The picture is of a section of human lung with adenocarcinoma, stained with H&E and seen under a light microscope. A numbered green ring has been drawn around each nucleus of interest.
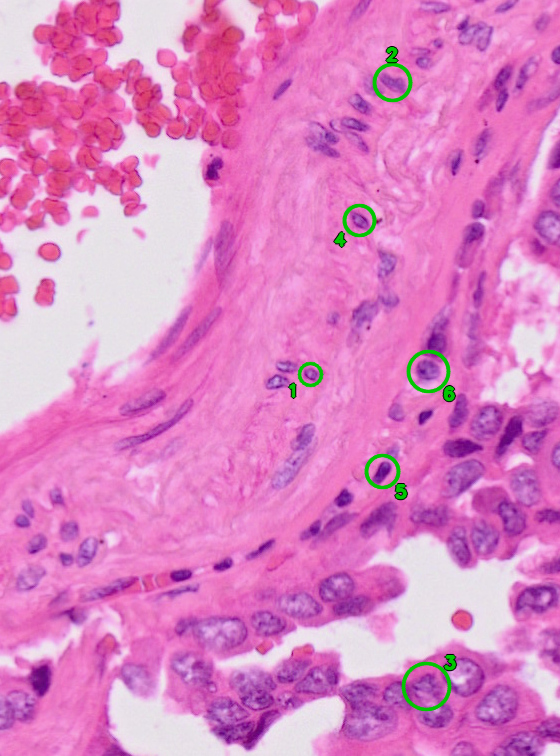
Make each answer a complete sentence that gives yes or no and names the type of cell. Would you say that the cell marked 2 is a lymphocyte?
No, the cell tagged 2 is a smooth muscle cell or pericyte, not a lymphocyte.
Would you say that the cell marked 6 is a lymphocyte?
Yes, cell number 6 is identified here as a lymphocyte.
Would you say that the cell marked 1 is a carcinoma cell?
No, rather than a carcinoma cell, cell number 1 is a smooth muscle cell or pericyte.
